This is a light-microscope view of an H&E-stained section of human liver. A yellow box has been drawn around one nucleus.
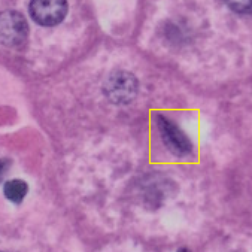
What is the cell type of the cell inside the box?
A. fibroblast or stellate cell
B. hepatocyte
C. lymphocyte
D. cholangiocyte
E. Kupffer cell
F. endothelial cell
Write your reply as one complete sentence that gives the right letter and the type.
On this slide, the cell inside the box is an endothelial cell, so option F is right.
